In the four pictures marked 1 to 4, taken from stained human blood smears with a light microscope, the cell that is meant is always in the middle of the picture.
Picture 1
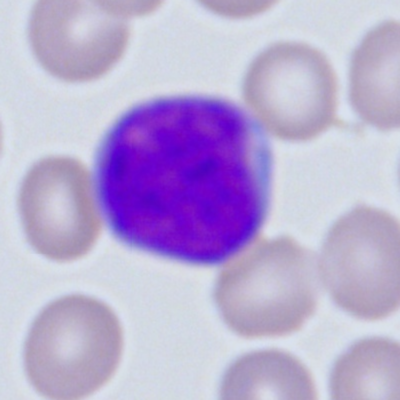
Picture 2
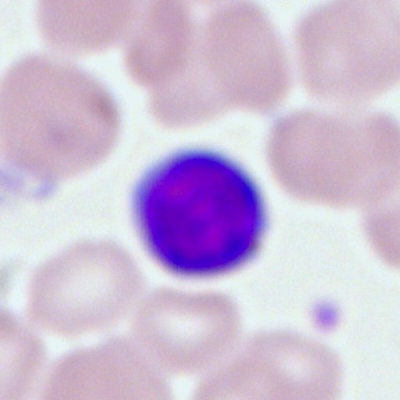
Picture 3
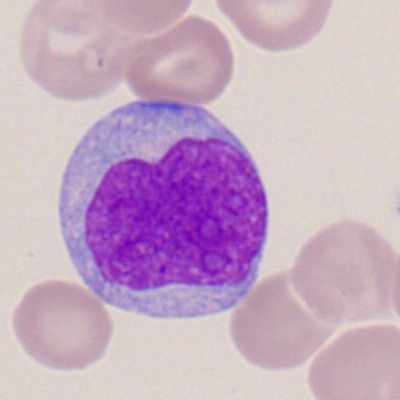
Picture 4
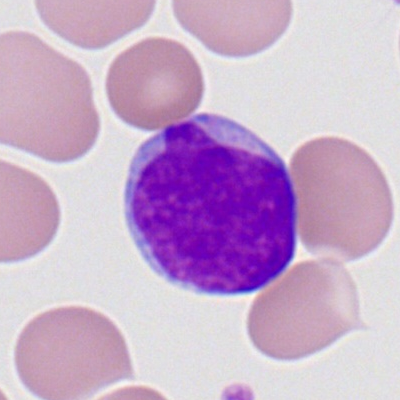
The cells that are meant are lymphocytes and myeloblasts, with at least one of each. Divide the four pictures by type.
1: myeloblast
2: lymphocyte
3: myeloblast
4: myeloblast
